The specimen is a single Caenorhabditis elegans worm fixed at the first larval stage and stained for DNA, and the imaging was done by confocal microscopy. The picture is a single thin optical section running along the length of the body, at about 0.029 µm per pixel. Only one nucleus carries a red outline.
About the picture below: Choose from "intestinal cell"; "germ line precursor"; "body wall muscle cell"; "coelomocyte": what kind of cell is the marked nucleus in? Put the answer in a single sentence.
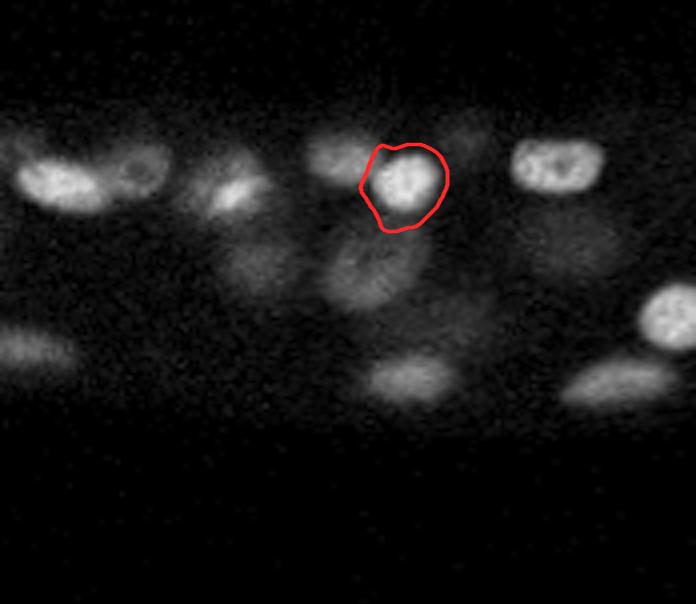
It belongs to a coelomocyte.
